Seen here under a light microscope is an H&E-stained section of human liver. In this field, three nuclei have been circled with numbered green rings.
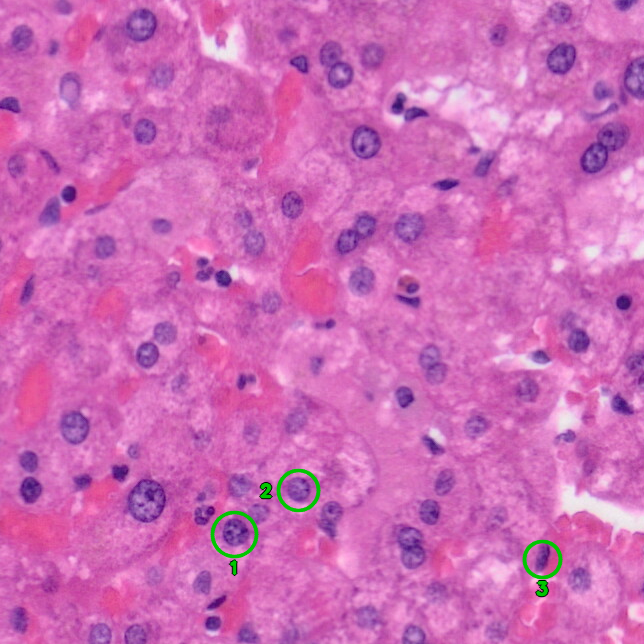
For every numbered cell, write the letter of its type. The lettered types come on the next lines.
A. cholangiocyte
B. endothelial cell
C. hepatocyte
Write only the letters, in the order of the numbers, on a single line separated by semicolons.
C; C; B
